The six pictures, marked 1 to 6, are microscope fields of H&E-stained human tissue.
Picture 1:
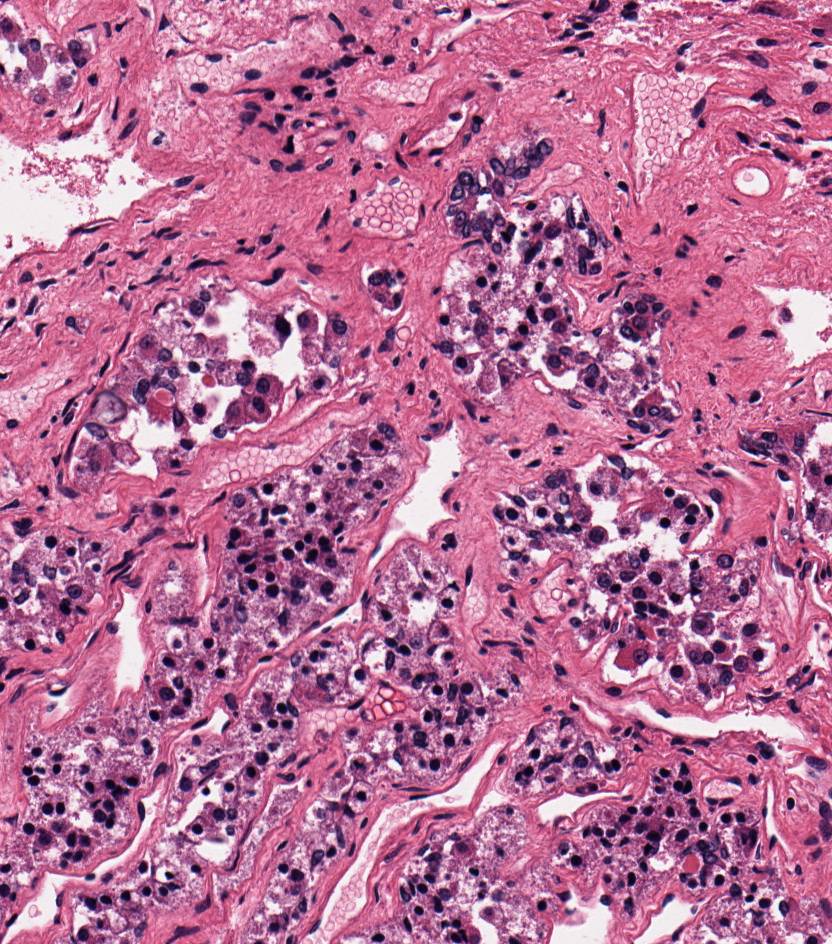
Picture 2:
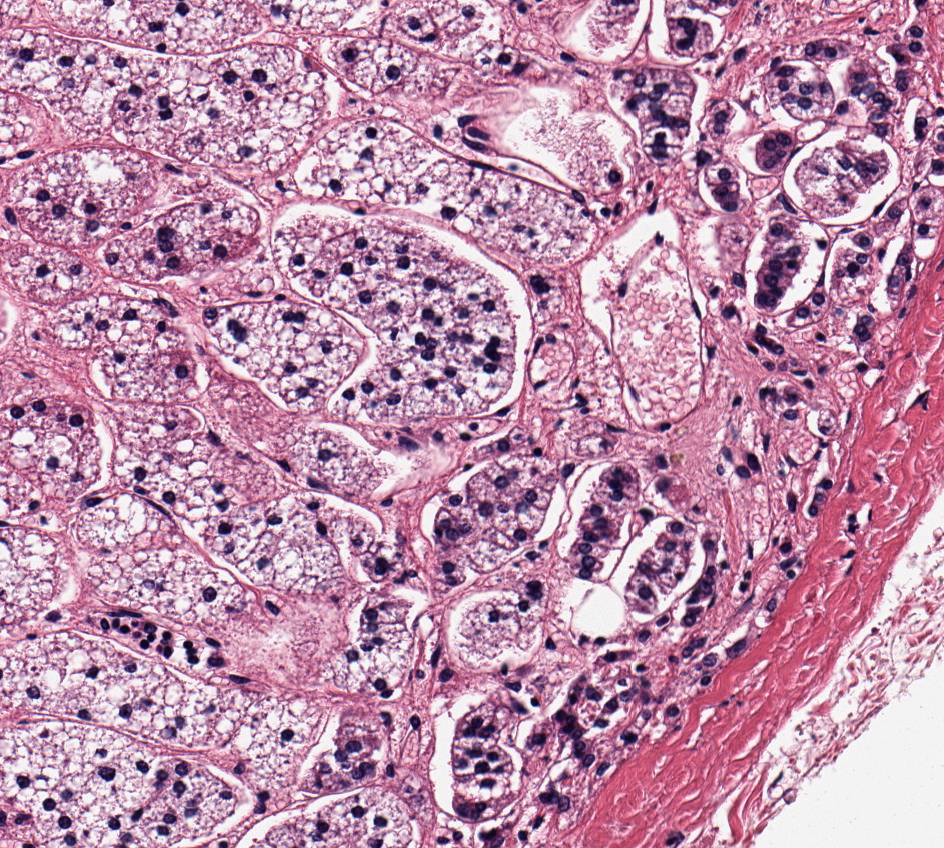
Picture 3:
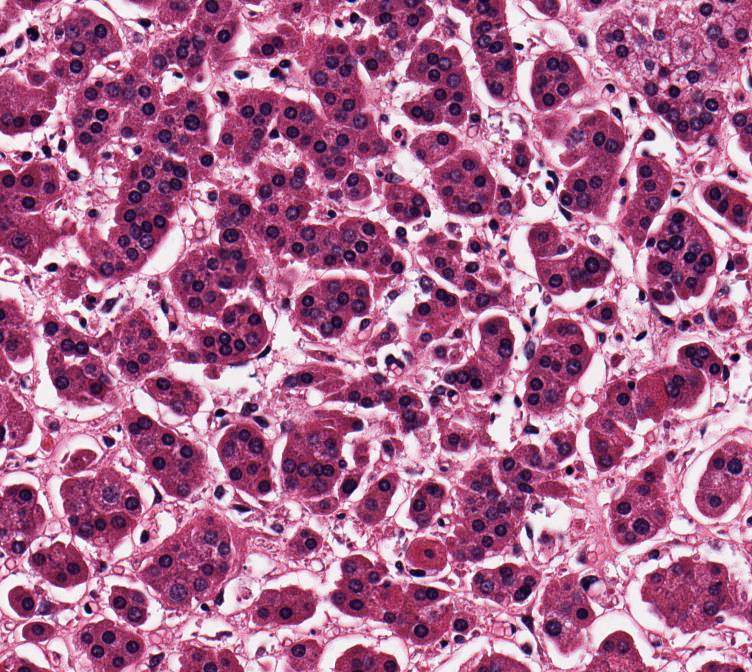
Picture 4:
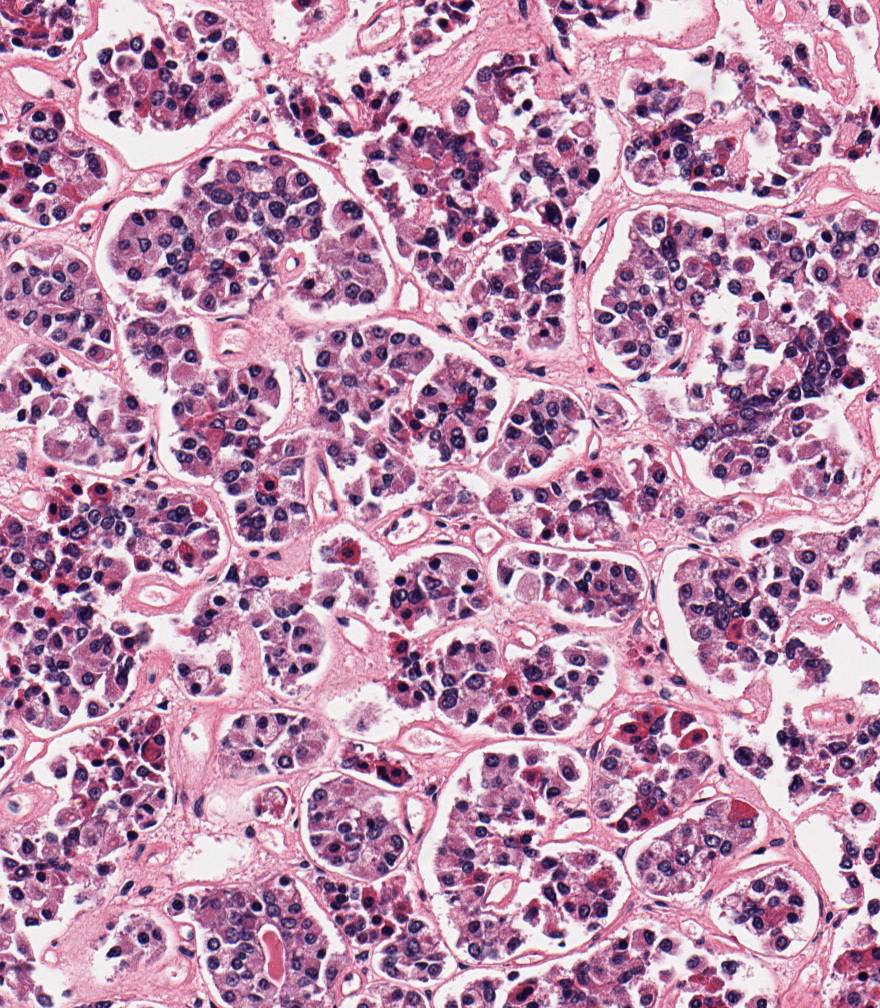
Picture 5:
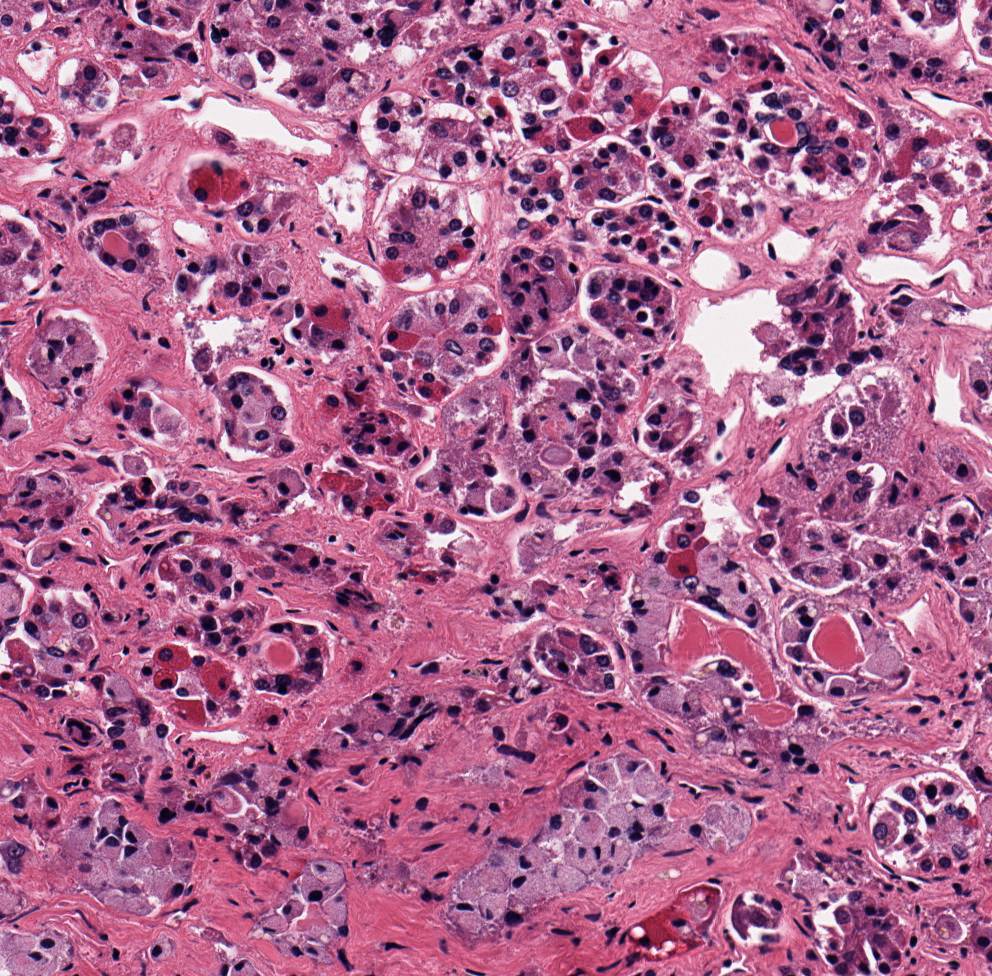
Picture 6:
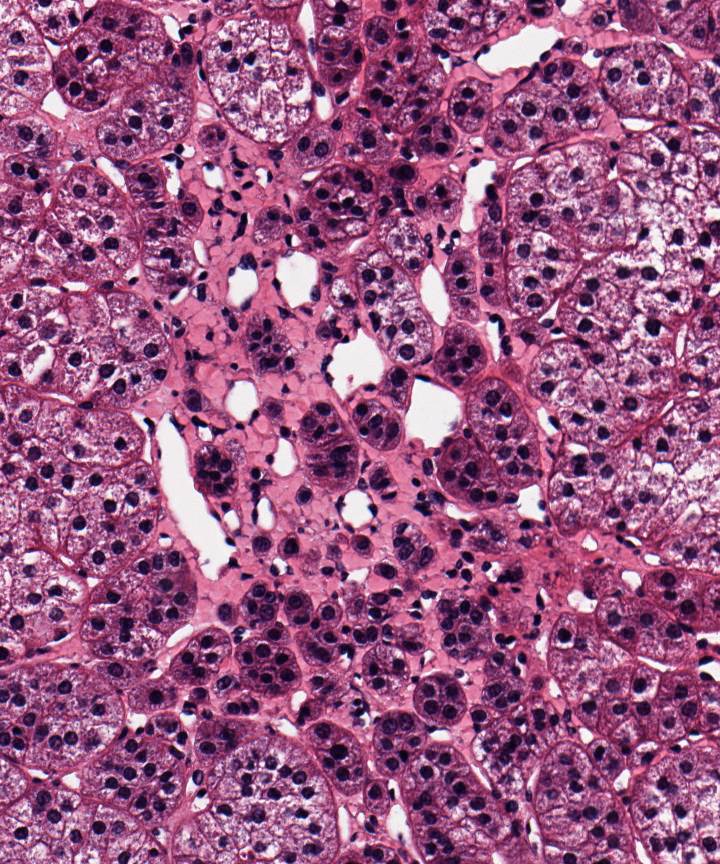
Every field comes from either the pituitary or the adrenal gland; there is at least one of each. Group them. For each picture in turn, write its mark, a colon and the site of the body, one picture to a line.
1: pituitary
2: adrenal gland
3: adrenal gland
4: pituitary
5: pituitary
6: adrenal gland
